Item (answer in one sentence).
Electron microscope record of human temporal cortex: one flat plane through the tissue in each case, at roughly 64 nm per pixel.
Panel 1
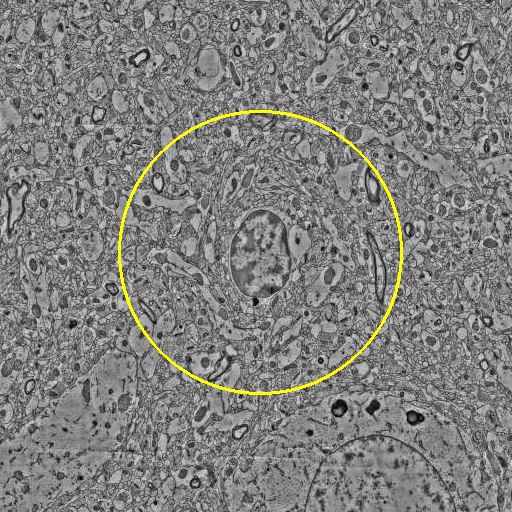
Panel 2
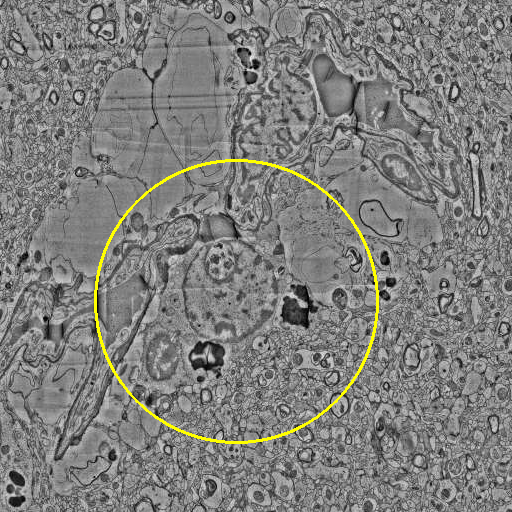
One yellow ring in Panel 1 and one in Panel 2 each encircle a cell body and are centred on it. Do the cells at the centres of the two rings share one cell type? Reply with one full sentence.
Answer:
No, Panel 1 and Panel 2 show cells of two types at the centres of their rings.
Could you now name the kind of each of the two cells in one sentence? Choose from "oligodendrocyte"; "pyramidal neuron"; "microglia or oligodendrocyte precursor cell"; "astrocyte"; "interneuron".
The first ring encloses a microglial cell or oligodendrocyte precursor cell; the second ring encloses an oligodendrocyte.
